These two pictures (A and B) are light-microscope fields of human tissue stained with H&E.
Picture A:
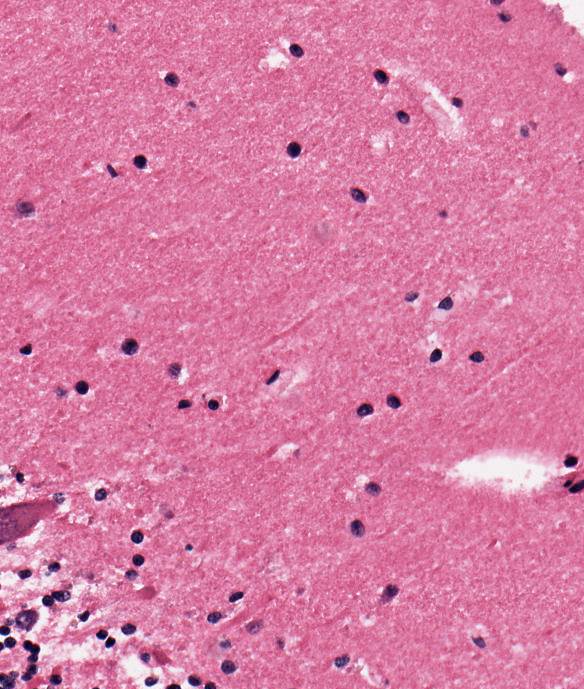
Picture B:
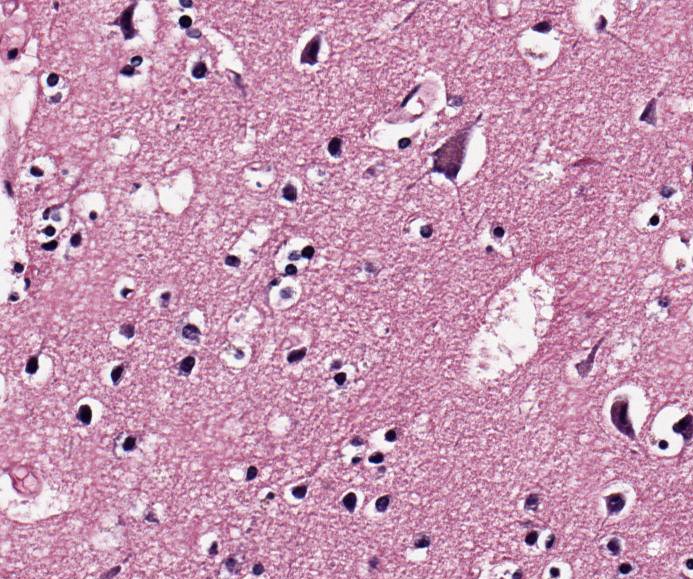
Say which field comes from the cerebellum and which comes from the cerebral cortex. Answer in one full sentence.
Picture B comes from the cerebral cortex, while picture A comes from the cerebellum.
